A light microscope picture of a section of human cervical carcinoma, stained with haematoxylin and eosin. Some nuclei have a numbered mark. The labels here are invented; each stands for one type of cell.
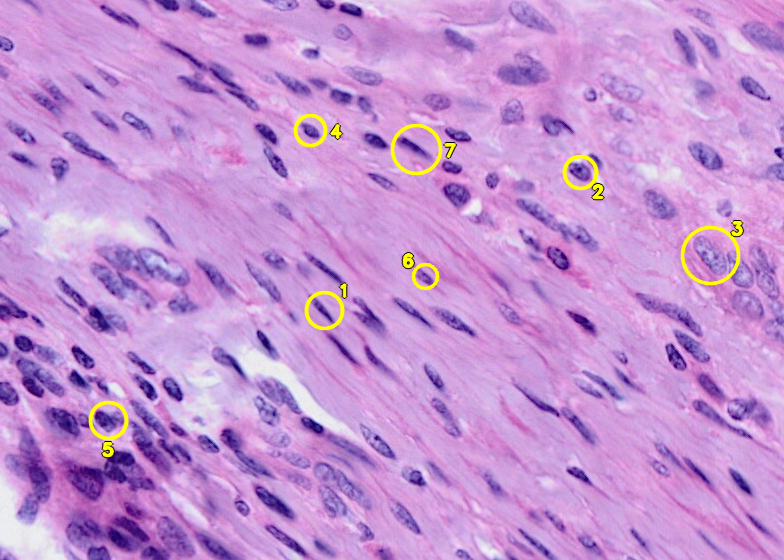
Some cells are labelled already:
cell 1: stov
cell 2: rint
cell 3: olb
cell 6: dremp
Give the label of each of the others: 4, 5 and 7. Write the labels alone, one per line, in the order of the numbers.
stov
rint
stov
